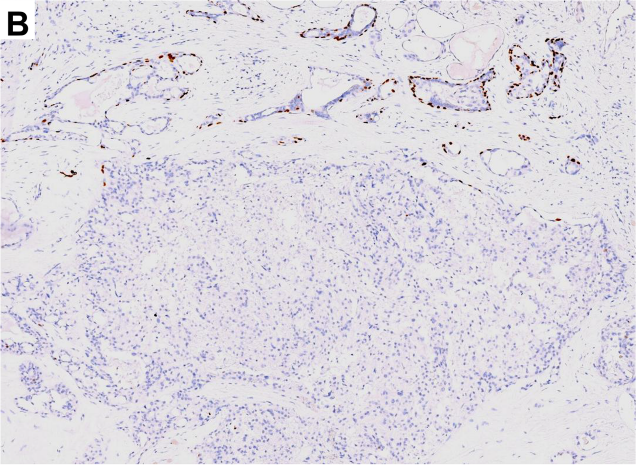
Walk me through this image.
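Section of a carcinoma with a blue counterstain in which brown-stained nuclei form a thin outer rim around the duct-like structures at the top. The large central nest of tumour cells and the smaller nests around it show no such brown rim at their edges, lying directly in the pale stroma.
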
